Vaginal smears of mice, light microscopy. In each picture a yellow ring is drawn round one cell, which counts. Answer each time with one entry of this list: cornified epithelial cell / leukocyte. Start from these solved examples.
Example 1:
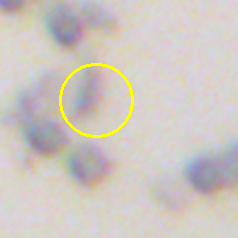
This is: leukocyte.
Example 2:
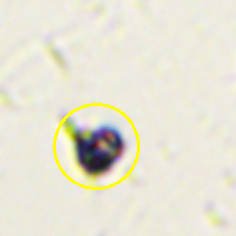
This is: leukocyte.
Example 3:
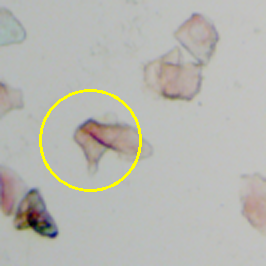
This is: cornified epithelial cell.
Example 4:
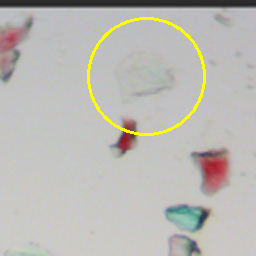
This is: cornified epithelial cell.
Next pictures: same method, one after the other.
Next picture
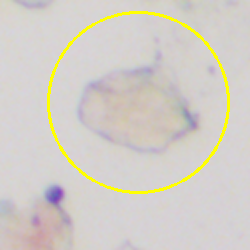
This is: cornified epithelial cell.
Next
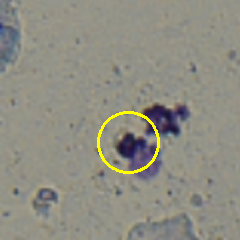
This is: leukocyte.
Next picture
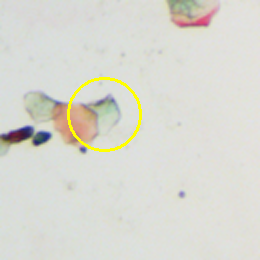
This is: cornified epithelial cell.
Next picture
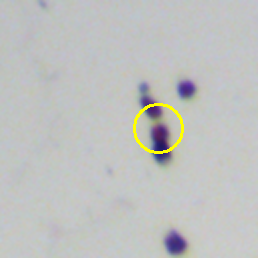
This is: leukocyte.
